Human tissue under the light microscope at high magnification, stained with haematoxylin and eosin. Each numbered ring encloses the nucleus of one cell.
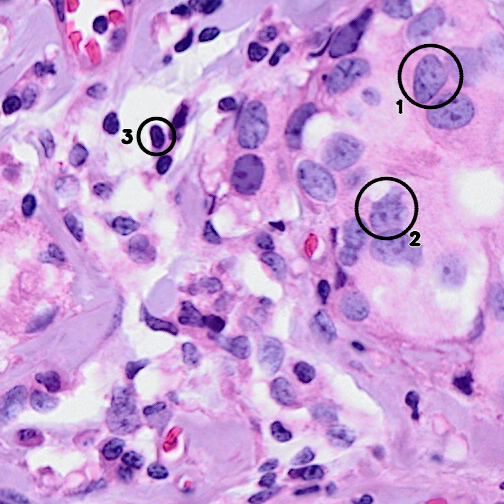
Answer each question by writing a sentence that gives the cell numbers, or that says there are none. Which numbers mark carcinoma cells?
Identified as carcinoma cells are the cells numbered 1 and 2.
